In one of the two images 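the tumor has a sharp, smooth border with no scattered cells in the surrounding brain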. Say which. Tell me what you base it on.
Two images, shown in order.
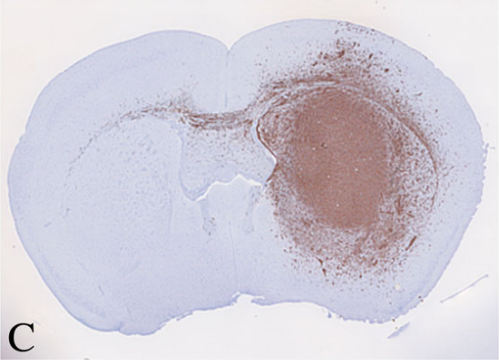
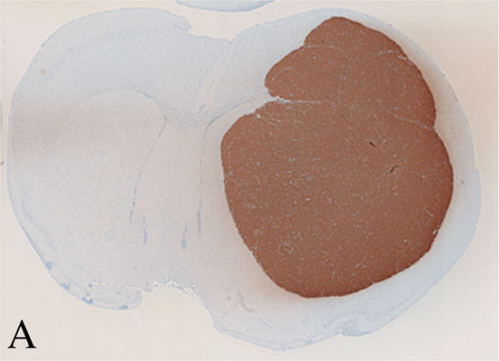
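The second image. First image: the brown mass fades out raggedly, with scattered brown dots far into the brain and across the midline. Second image: the brown mass is solid and sharply bounded, with clear blue brain around it.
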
